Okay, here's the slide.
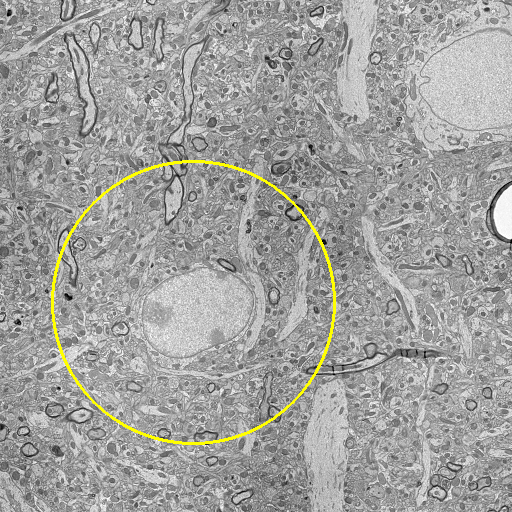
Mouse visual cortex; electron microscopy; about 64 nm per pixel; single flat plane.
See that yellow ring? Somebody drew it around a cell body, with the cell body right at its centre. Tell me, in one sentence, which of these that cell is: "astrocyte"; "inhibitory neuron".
The cell in the middle of the ring is an astrocyte.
